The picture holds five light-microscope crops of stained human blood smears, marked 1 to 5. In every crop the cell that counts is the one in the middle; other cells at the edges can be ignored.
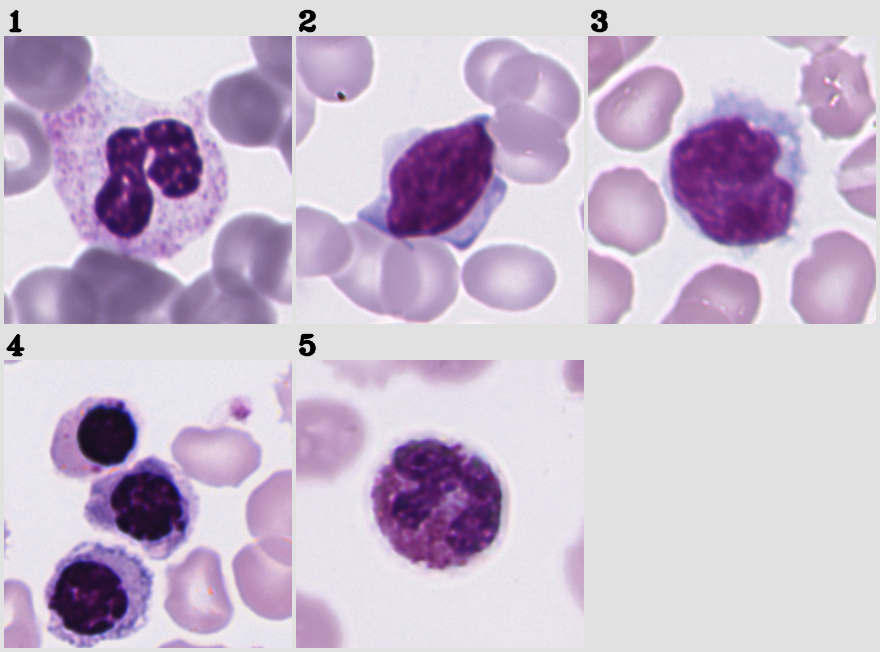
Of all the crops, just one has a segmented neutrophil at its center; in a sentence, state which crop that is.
The one showing a segmented neutrophil is the crop labelled 1.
